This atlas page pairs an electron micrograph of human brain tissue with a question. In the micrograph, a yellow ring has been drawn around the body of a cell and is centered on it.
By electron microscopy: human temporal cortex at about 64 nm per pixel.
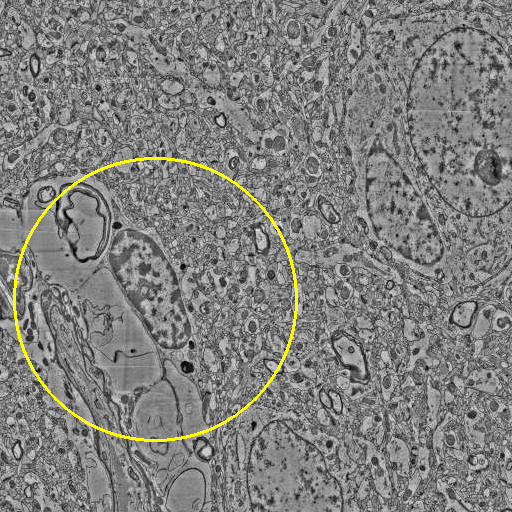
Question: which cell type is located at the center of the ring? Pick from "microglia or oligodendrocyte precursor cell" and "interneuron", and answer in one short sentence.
Located at the center of the ring is a microglial cell or oligodendrocyte precursor cell.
